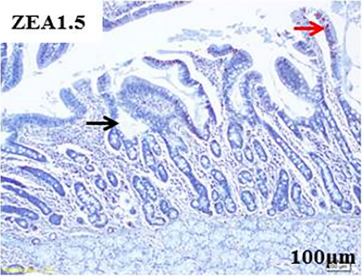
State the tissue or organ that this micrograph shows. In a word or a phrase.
Duodenum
